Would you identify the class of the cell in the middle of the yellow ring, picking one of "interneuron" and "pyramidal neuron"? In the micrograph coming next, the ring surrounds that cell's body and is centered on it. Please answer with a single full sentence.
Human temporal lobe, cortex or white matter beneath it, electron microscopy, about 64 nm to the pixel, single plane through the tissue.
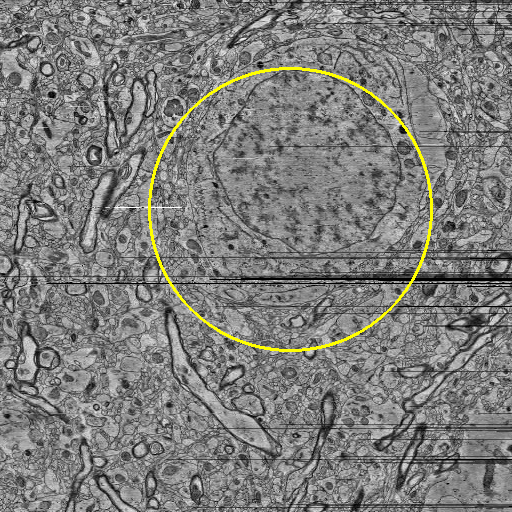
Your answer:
In the micrograph, it is a pyramidal neuron whose body lies at the ring's center.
